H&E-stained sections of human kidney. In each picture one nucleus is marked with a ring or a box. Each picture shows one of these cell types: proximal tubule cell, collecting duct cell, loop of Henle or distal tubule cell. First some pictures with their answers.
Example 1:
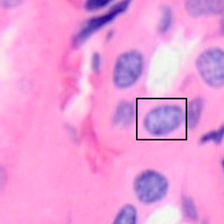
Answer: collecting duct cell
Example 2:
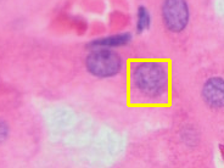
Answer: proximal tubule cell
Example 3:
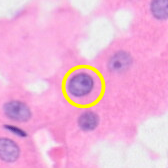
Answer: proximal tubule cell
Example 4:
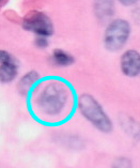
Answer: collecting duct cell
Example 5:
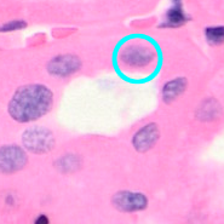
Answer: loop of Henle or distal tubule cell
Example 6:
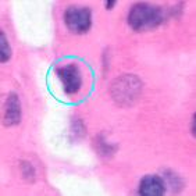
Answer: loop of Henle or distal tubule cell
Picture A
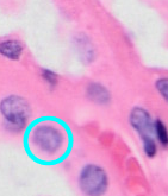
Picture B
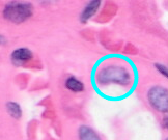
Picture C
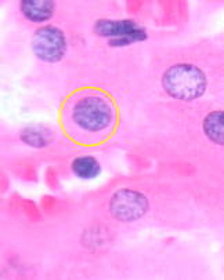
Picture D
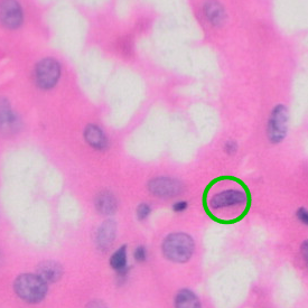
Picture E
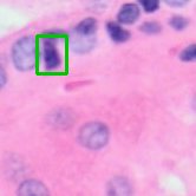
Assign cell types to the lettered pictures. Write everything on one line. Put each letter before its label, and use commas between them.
A collecting duct cell, B loop of Henle or distal tubule cell, C loop of Henle or distal tubule cell, D proximal tubule cell, E collecting duct cell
